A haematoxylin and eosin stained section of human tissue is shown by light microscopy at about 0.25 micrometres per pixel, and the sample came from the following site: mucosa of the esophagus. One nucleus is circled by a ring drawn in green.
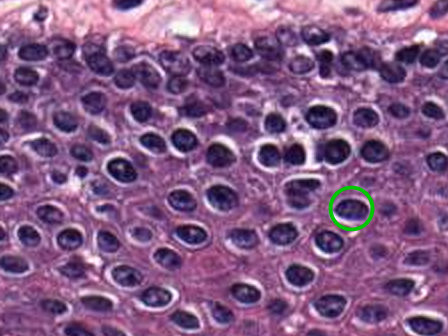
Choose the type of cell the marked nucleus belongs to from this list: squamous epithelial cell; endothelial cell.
squamous epithelial cell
